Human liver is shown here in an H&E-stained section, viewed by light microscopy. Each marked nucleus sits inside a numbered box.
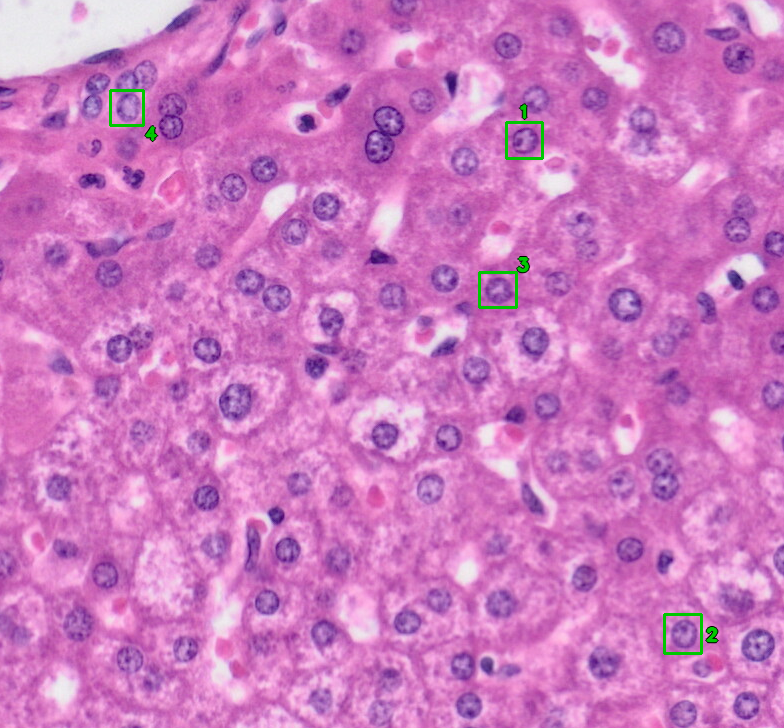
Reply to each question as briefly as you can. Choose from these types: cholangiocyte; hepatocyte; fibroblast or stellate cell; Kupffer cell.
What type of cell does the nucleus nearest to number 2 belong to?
Kupffer cell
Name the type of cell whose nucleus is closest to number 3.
fibroblast or stellate cell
